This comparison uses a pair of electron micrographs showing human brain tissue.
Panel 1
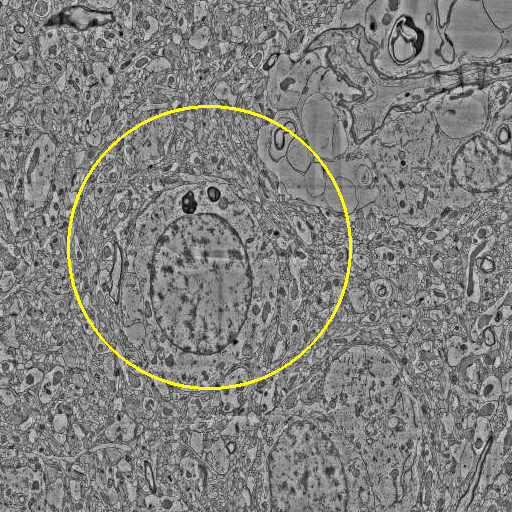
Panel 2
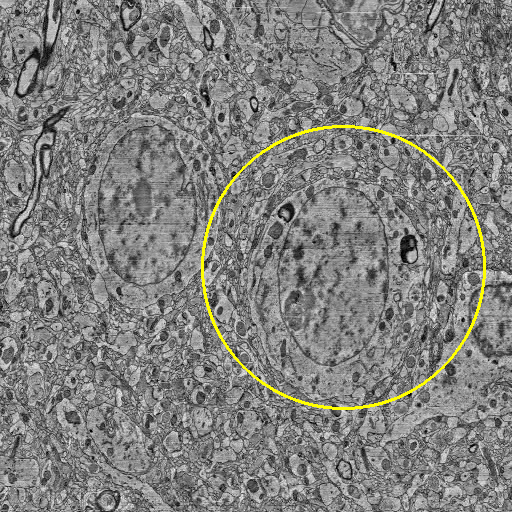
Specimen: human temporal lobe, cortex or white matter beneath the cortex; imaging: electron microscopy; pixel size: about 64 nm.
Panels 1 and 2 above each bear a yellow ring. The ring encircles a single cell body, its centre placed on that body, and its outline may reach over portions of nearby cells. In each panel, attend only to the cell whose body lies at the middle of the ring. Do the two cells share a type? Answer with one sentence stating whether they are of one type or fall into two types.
In Panel 1 and Panel 2, the cells at the centres of the rings are of one type.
